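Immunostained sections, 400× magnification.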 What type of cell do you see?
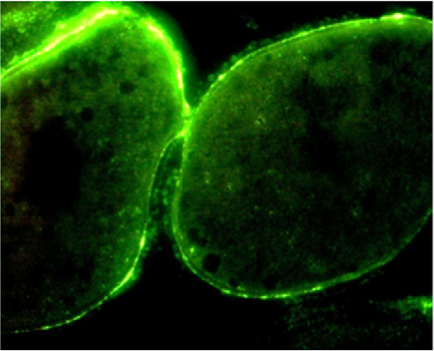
Oocytes.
